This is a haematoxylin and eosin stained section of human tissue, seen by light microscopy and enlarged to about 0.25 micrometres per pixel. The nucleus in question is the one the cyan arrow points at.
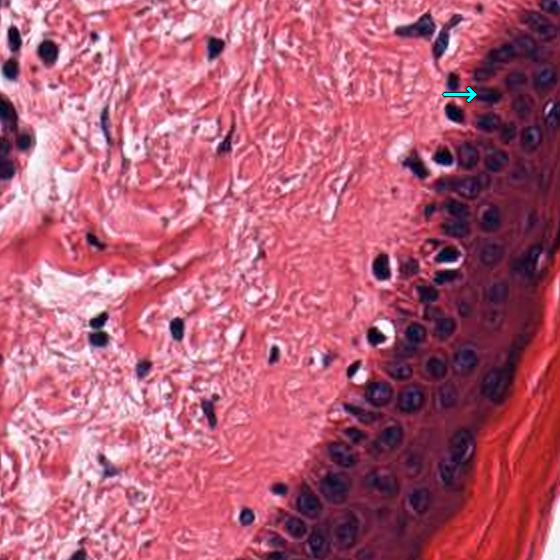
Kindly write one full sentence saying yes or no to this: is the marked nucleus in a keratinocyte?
Yes, it is a keratinocyte that holds the marked nucleus.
